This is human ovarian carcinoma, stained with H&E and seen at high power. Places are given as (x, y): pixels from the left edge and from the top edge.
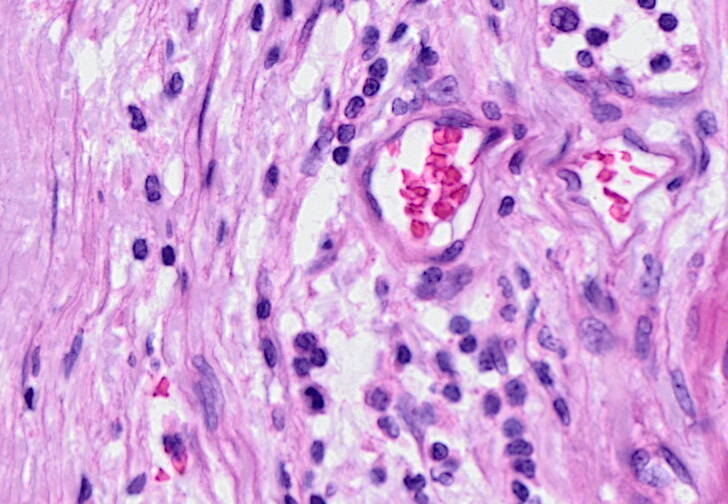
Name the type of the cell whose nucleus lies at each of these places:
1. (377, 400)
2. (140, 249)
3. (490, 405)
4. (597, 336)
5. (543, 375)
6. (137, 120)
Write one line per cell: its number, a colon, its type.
1: macrophage or monocyte
2: lymphocyte
3: lymphocyte
4: fibroblast
5: lymphocyte
6: lymphocyte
